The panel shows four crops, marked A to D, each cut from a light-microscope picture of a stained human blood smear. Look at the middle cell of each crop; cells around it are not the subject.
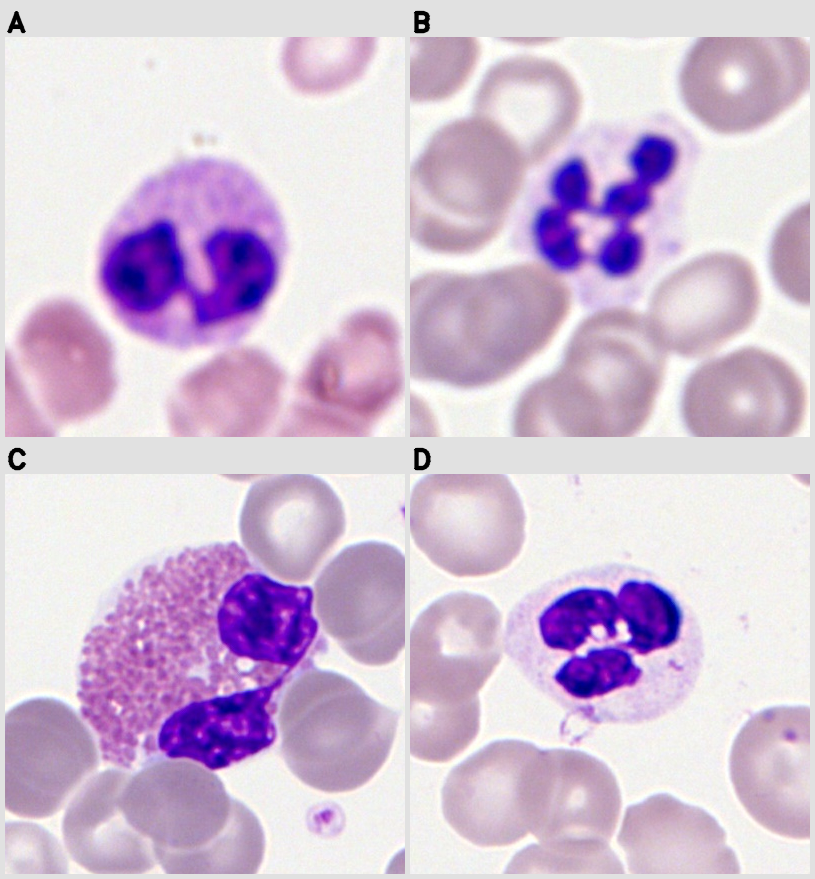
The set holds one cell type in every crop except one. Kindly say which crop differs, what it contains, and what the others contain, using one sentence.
The different crop is crop C, an eosinophil; all the others show segmented neutrophils.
